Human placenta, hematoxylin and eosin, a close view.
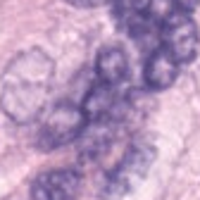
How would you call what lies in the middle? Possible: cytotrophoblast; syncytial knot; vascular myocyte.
I would call it a syncytial knot.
